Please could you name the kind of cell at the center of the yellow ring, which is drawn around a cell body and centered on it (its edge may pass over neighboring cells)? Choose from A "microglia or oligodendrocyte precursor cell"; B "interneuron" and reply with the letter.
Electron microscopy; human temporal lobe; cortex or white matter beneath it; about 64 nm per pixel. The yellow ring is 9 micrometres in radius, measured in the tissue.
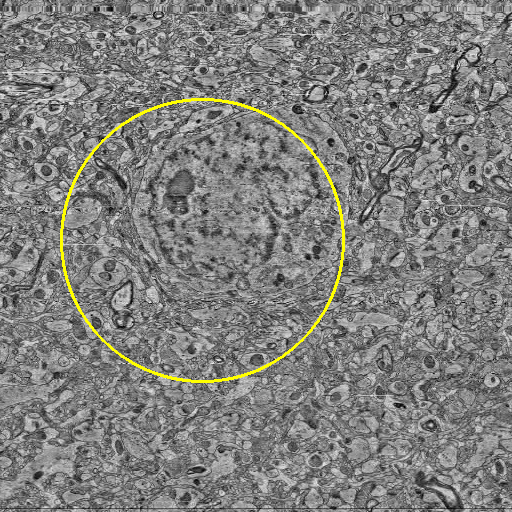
B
